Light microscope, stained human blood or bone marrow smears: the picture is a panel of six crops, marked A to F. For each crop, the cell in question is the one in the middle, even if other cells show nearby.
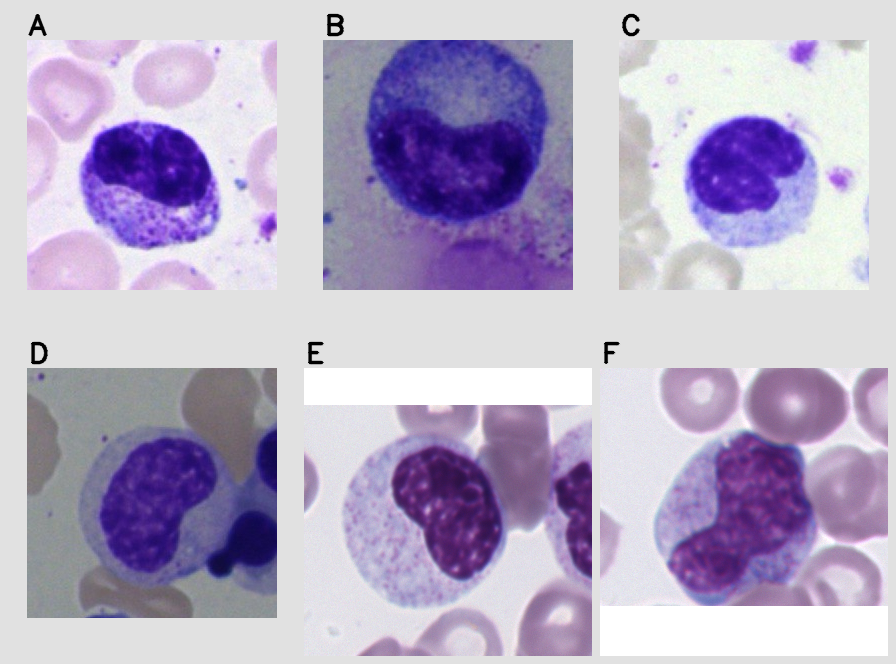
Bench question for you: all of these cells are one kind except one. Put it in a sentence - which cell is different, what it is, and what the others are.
Identified in crop F is a monocyte, whereas the other crops all show metamyelocytes.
